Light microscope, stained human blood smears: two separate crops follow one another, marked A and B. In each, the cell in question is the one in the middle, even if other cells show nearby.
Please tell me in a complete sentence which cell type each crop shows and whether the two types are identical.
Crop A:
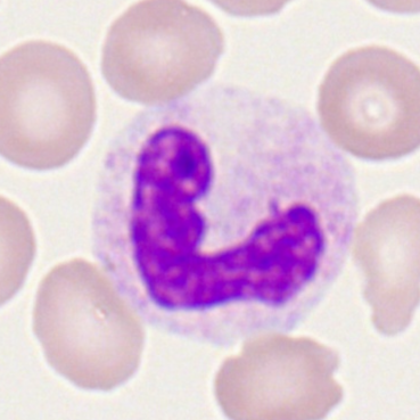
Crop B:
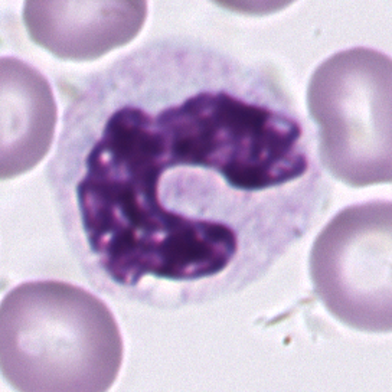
Yes, the crops both have band neutrophils in the middle.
